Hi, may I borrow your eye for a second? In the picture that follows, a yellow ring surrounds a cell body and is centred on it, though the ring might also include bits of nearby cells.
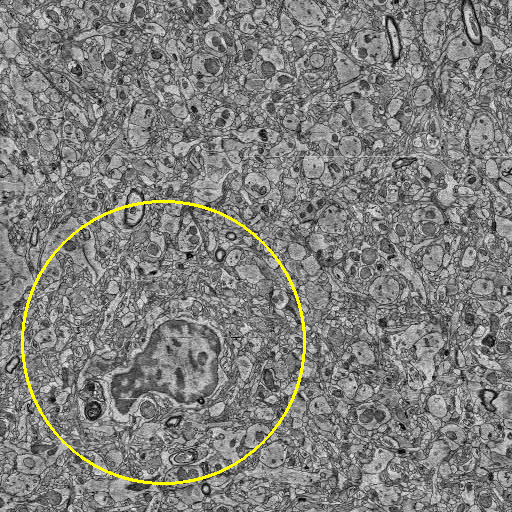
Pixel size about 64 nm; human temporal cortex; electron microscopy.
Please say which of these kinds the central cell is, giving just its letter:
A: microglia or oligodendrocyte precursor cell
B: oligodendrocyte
A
